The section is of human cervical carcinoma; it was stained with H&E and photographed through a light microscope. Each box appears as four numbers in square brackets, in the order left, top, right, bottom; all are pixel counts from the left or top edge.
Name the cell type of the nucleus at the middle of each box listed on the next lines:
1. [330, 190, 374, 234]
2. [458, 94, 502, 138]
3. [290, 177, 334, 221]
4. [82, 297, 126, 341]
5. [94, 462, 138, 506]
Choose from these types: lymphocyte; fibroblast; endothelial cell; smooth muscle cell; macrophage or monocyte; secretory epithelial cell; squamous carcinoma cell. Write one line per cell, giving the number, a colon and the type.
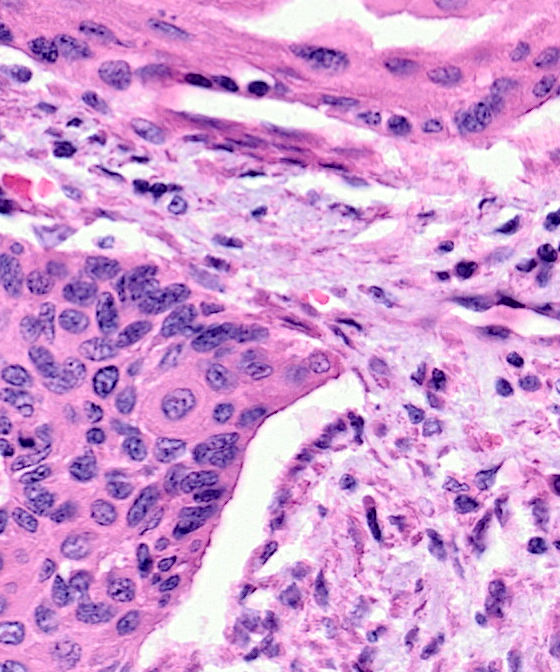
1: fibroblast
2: squamous carcinoma cell
3: fibroblast
4: squamous carcinoma cell
5: squamous carcinoma cell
